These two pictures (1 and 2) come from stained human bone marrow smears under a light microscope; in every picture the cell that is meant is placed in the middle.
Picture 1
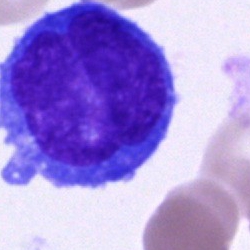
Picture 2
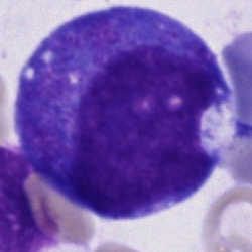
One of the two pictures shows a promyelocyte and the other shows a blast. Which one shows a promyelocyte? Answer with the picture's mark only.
2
